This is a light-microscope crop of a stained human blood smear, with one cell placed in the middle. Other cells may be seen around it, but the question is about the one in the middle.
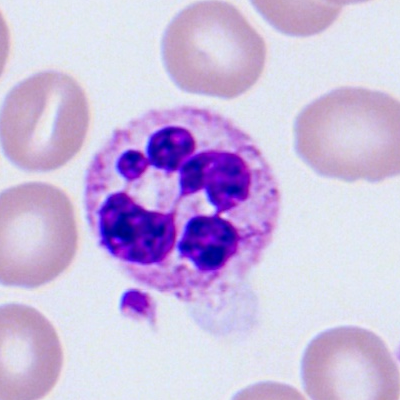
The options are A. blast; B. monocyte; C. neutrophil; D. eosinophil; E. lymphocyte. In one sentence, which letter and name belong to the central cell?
The centered cell is a neutrophil, which is why option C is right.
